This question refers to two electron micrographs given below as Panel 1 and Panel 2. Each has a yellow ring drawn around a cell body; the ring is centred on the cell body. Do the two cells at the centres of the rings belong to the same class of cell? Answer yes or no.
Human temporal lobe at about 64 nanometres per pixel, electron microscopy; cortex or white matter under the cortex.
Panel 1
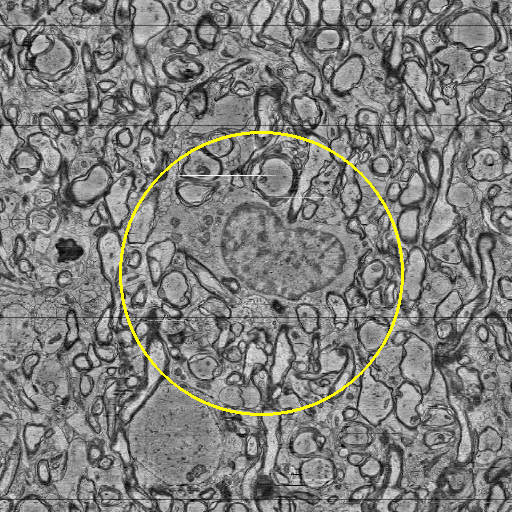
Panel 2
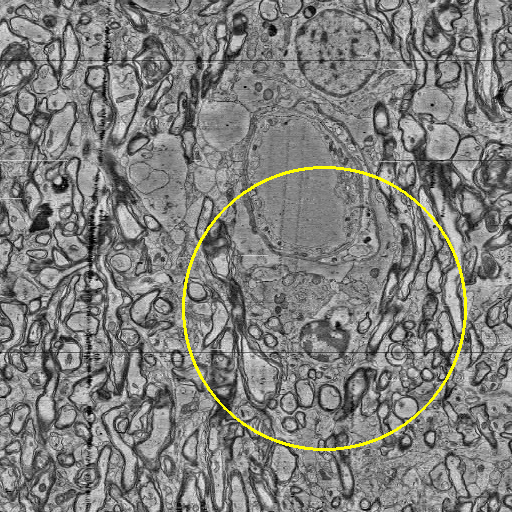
no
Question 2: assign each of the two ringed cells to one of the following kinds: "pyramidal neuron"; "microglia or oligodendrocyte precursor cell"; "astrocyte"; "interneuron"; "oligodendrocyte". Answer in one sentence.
The two cells are an oligodendrocyte in the first picture and a microglial cell or oligodendrocyte precursor cell in the second.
